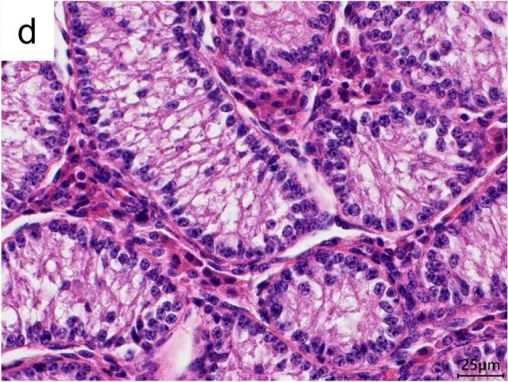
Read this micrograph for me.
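This section of testis shows seminiferous tubules lined only by Sertoli cells. Each tubule is bounded by a thin wall, and a single row of dark purple oval nuclei sits along it. From these cells pale, finely foamy pink cytoplasm extends toward the centre, filling the tubule with a loose meshwork. No layers of germ cells are seen inside the tubules. Between the tubules lies narrow interstitial tissue with a few cells having darker pink cytoplasm.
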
